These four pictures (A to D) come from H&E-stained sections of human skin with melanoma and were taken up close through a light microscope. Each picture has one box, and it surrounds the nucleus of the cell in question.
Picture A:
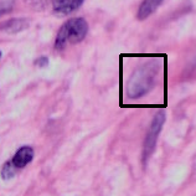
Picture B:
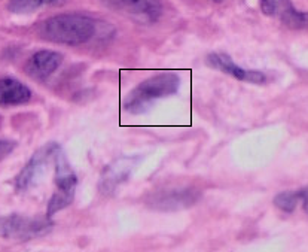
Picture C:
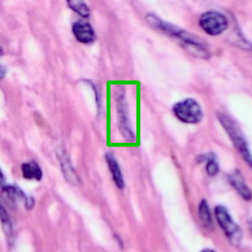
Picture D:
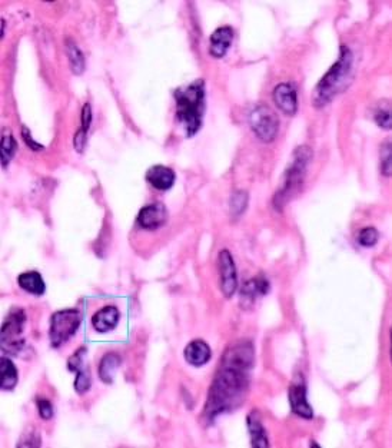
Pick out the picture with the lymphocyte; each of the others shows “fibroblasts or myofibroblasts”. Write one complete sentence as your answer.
It is picture D that shows the lymphocyte.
